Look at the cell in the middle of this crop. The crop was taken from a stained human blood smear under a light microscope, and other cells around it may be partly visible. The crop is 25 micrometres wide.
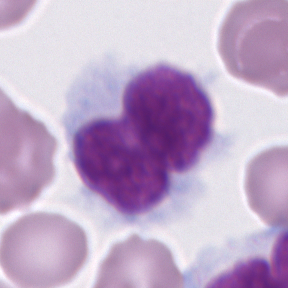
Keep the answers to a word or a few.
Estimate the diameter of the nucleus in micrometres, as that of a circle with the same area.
11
